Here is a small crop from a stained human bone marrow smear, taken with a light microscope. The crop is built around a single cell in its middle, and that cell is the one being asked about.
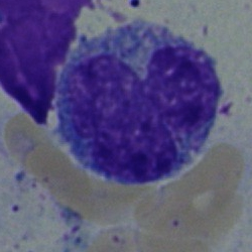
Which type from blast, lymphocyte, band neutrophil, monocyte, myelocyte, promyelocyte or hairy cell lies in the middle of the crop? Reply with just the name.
monocyte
